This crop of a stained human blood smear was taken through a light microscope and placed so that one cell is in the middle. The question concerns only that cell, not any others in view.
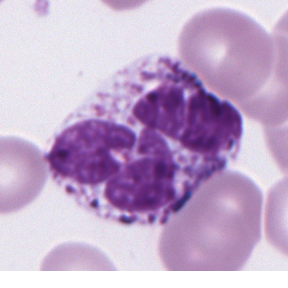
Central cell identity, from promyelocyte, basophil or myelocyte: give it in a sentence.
In this crop, the cell at the very middle is a basophil.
